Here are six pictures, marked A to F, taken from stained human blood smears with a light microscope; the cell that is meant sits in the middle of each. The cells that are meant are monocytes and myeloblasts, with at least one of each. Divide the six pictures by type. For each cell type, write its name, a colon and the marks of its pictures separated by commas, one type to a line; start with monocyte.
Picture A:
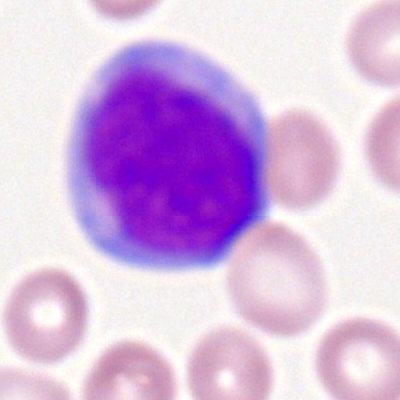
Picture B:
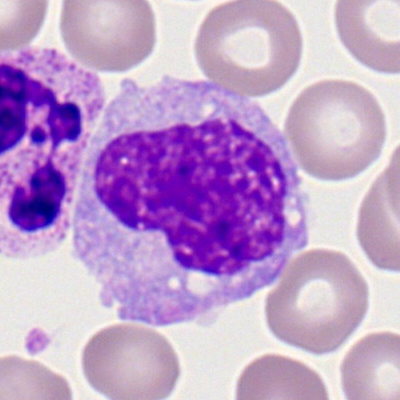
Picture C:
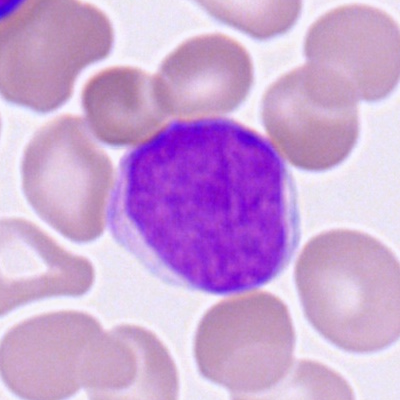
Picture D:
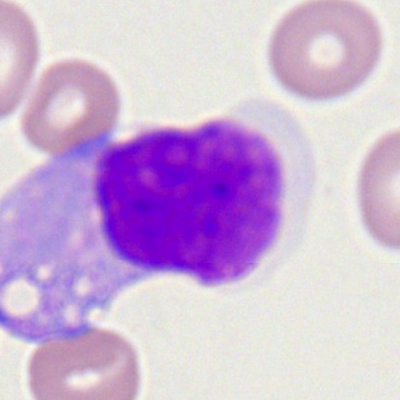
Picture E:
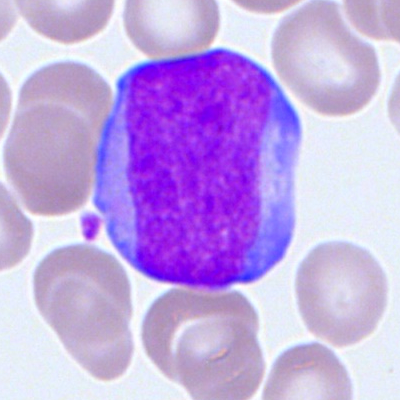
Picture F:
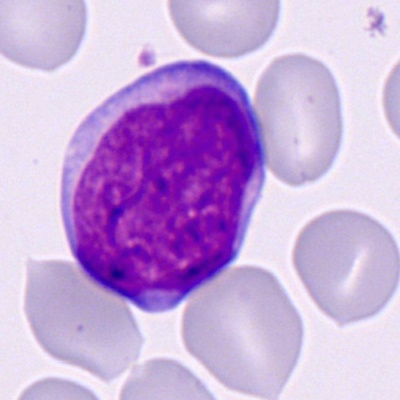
monocyte: B, D
myeloblast: A, C, E, F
